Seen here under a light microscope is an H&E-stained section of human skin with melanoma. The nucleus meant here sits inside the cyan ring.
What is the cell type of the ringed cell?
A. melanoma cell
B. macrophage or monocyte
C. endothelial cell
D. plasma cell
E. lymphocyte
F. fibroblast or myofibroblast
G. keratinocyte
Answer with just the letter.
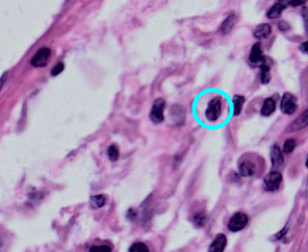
E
